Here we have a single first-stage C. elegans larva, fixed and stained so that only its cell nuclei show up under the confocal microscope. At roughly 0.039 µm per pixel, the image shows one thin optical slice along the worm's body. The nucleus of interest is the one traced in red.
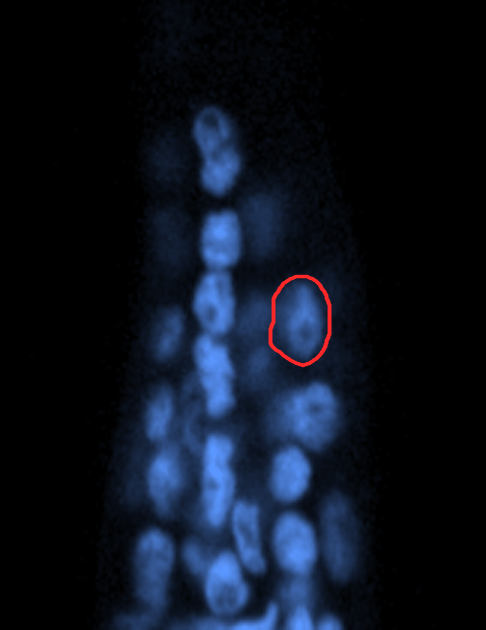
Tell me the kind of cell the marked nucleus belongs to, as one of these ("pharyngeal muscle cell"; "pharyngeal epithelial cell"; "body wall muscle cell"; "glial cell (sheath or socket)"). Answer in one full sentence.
It belongs to a body wall muscle cell.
